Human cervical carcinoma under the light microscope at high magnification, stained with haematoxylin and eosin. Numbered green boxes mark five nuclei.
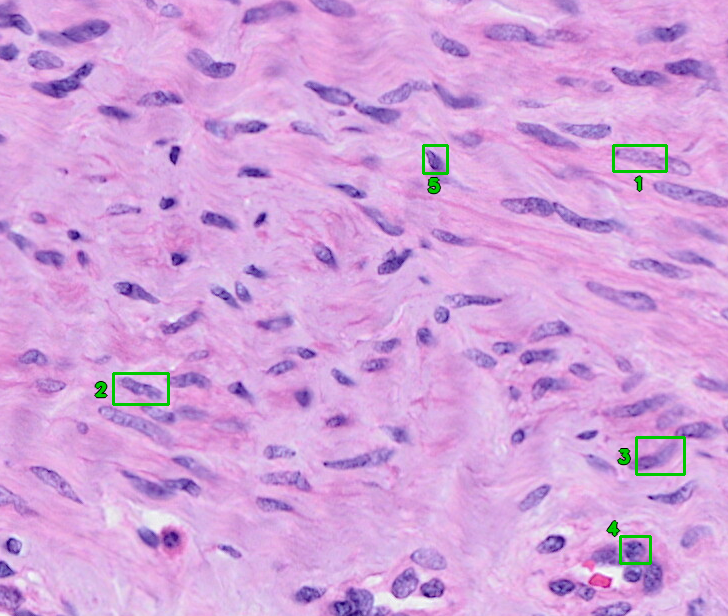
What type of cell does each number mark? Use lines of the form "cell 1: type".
cell 1: smooth muscle cell
cell 2: smooth muscle cell
cell 3: smooth muscle cell
cell 4: endothelial cell
cell 5: fibroblast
